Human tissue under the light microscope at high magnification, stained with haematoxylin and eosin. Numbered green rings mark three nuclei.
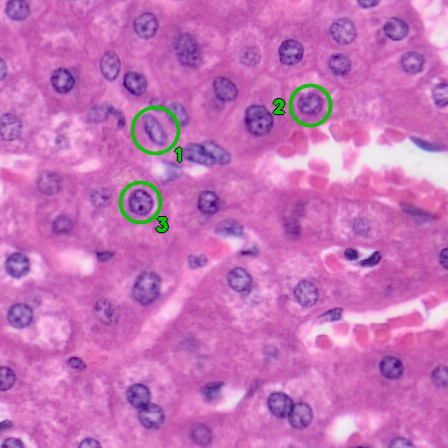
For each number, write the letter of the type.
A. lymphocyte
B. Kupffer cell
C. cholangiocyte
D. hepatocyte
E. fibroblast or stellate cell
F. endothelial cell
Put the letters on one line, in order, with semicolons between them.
C; D; D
